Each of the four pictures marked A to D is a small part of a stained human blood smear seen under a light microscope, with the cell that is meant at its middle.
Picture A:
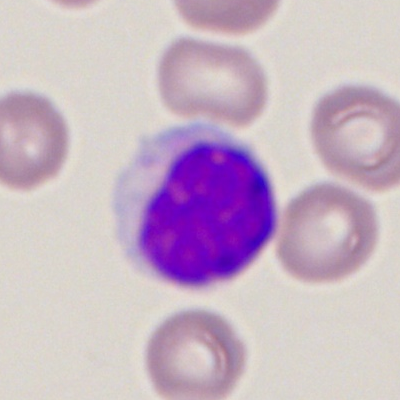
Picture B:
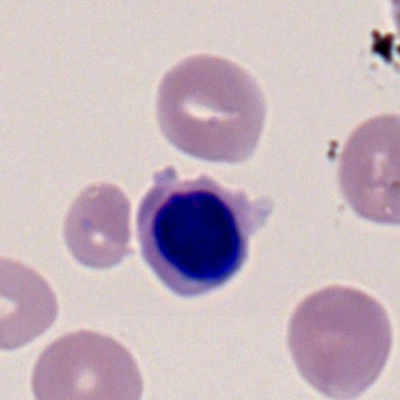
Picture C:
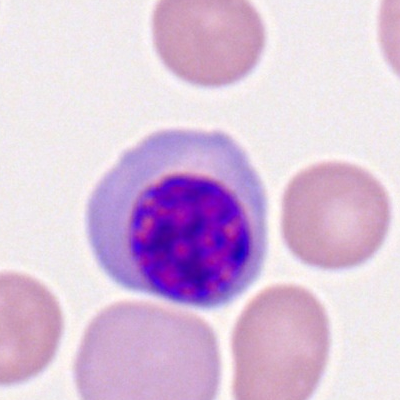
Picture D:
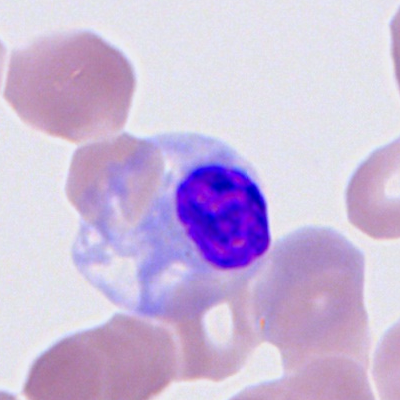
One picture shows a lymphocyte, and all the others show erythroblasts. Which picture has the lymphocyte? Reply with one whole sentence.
Picture A is the one that shows the lymphocyte.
